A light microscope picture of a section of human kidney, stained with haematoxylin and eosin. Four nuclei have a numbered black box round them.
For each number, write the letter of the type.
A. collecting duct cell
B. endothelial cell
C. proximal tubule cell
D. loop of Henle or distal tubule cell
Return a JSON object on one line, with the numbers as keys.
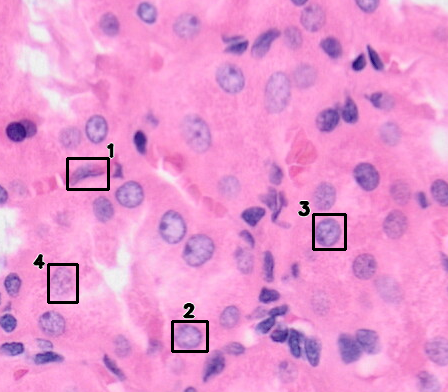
{"1": "B", "2": "C", "3": "C", "4": "C"}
